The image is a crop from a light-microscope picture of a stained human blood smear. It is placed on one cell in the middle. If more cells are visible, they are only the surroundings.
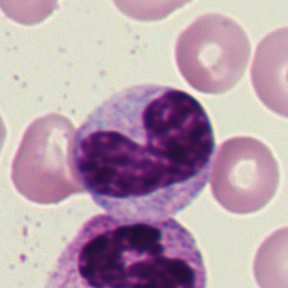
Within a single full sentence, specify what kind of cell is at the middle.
At the middle of the frame sits a band neutrophil.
